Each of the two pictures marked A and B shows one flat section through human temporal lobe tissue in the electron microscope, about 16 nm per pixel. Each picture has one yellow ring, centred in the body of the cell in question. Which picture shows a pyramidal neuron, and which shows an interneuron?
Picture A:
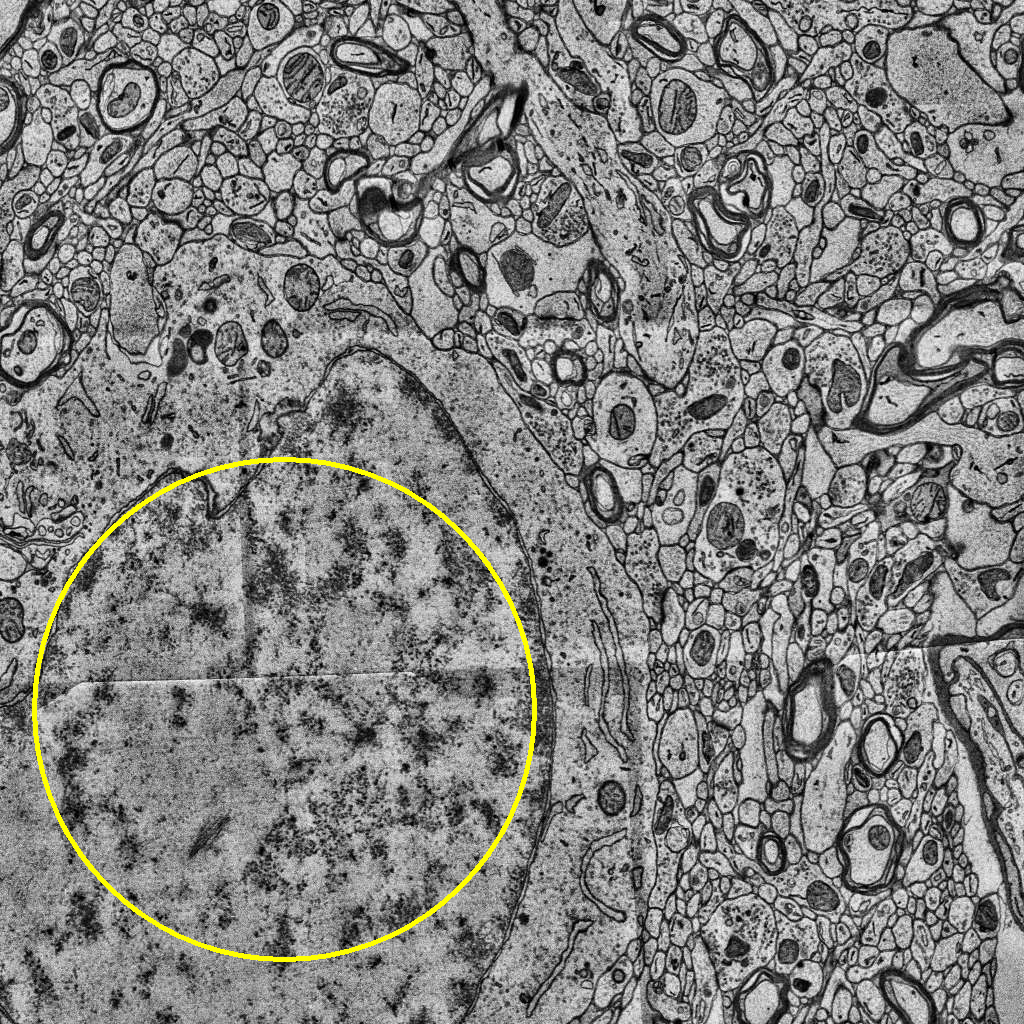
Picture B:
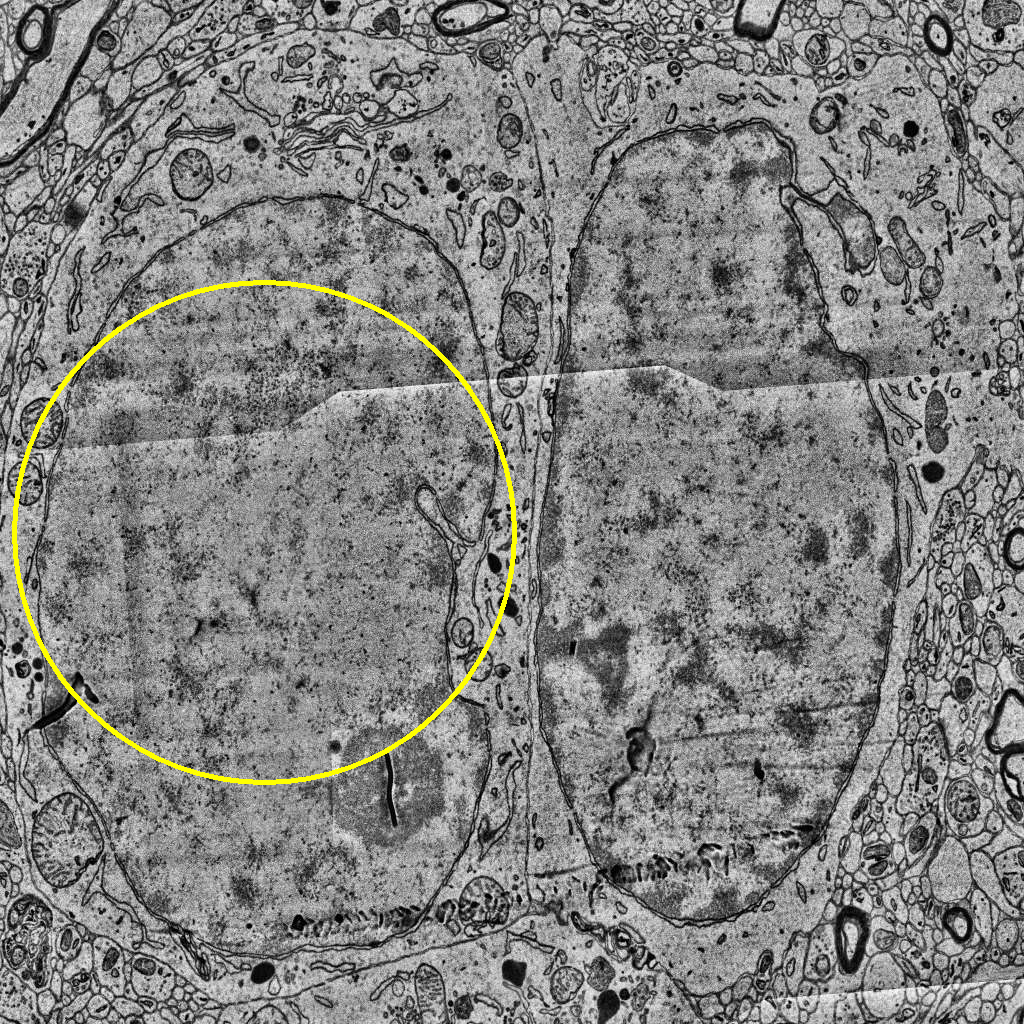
In picture A the cell is an interneuron; in picture B, a pyramidal neuron.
